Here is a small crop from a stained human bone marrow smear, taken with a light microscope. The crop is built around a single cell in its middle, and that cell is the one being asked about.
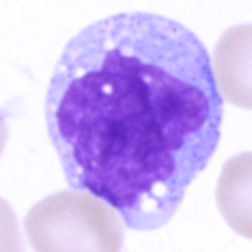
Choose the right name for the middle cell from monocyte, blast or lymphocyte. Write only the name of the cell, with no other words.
monocyte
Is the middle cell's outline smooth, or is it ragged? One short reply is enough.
If you check the edge, you will find it smooth without projections.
